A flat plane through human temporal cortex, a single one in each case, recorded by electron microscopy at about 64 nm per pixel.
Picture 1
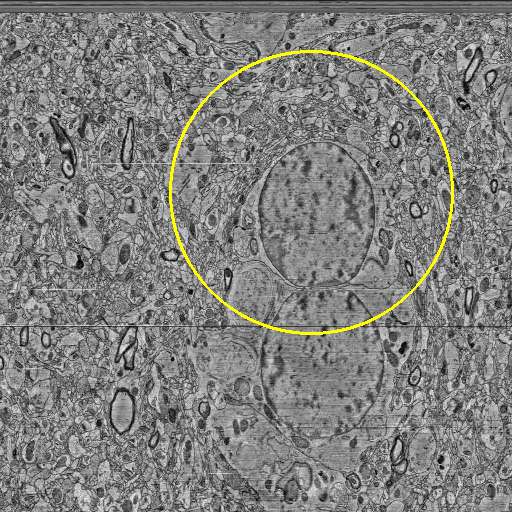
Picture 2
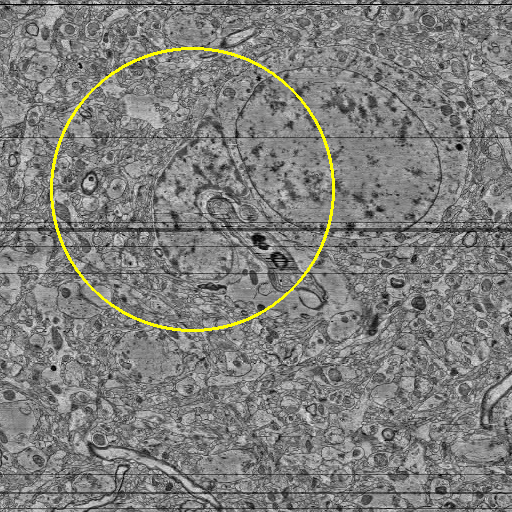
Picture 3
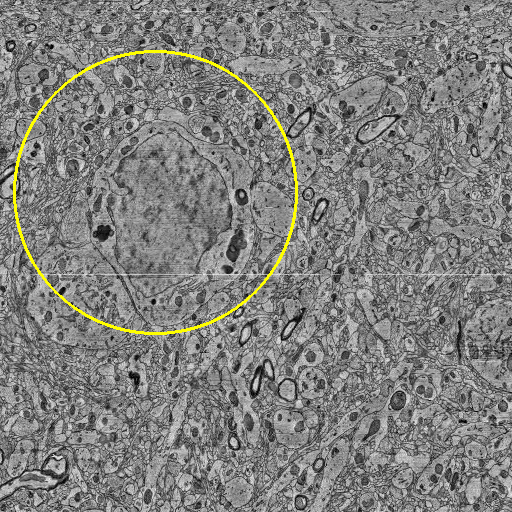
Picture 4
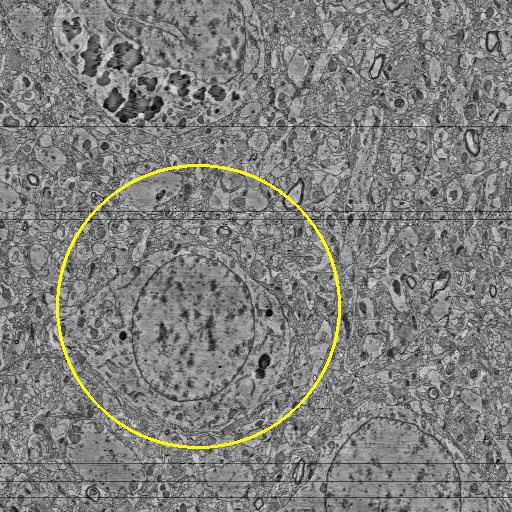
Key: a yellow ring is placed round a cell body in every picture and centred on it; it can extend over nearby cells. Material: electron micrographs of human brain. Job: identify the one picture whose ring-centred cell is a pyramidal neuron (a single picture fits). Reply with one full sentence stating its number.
Picture 4 is the one with the sought cell at the centre of its ring.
